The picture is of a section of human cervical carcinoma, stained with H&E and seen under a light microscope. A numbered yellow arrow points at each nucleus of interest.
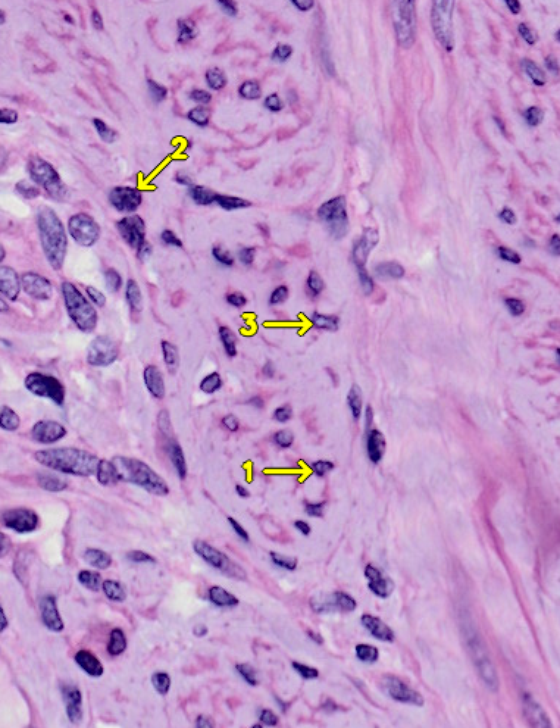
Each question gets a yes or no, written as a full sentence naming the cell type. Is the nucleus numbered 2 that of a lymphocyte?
Yes, the cell bearing the number 2 is a lymphocyte.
